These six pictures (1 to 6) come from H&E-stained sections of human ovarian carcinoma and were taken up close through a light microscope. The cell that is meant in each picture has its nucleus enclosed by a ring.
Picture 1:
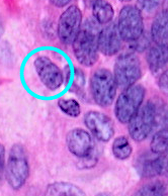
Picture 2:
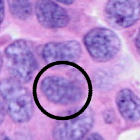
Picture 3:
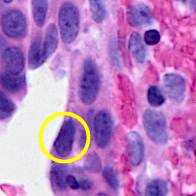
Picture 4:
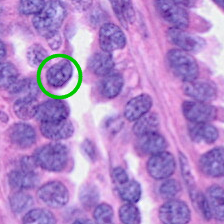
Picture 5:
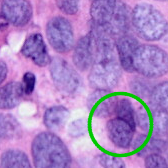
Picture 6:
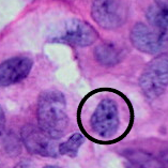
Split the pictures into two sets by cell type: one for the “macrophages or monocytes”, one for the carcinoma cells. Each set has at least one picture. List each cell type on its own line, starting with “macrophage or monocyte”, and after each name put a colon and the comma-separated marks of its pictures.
macrophage or monocyte: 1, 6
carcinoma cell: 2, 3, 4, 5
